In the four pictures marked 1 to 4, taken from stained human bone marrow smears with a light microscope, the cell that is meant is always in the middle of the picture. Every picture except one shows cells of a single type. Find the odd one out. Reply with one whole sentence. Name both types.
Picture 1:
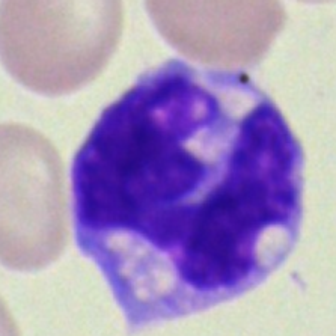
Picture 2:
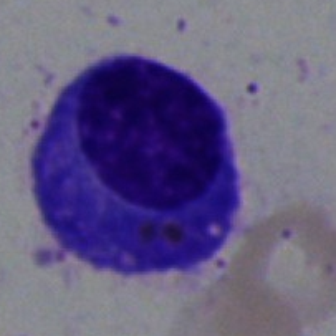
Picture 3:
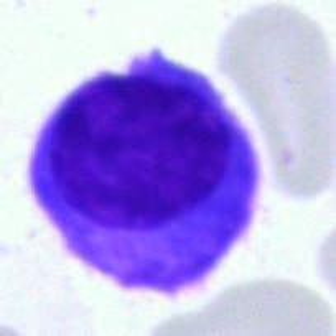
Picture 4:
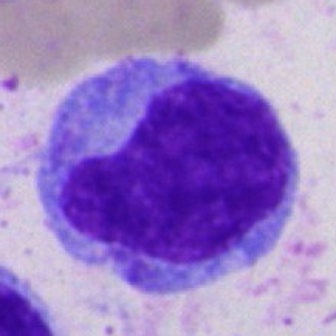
The different one is picture 1; it shows a monocyte, whereas all the others show plasma cells.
